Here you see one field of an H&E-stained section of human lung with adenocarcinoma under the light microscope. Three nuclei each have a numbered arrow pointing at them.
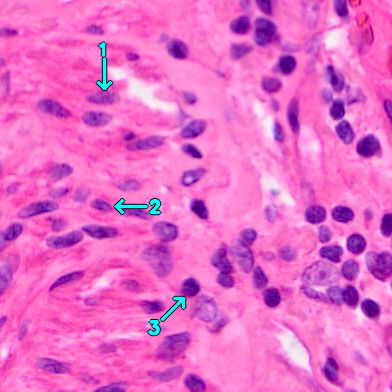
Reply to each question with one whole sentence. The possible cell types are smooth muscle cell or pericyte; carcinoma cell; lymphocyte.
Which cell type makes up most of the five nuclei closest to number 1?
Of the five nuclei nearest to number 1, most belong to smooth muscle cells or pericytes.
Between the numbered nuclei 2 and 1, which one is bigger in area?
It is nucleus 1, which covers about 2 times the area of nucleus 2.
